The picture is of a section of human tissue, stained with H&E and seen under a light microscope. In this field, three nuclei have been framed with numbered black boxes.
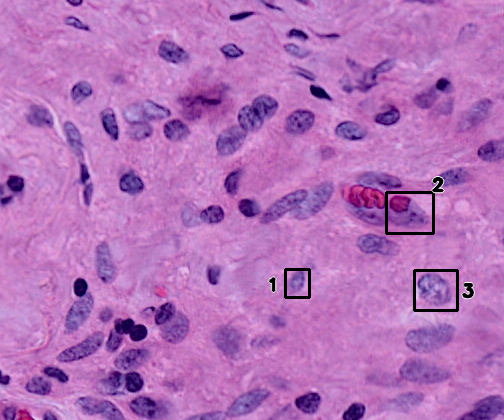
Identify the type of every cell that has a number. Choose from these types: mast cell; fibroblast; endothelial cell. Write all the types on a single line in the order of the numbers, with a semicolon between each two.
fibroblast; endothelial cell; fibroblast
